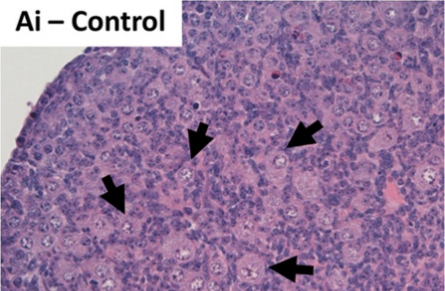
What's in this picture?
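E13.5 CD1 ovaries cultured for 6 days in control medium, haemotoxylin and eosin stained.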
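The germ cells are large and round, with ample pink cytoplasm and a round, pale nucleus holding coarse, clumped purple chromatin. Around them lie densely packed small cells with dark, oval nuclei and little cytoplasm, which in places seem to wrap around the germ cells. The germ cells are spread fairly evenly across the tissue.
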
